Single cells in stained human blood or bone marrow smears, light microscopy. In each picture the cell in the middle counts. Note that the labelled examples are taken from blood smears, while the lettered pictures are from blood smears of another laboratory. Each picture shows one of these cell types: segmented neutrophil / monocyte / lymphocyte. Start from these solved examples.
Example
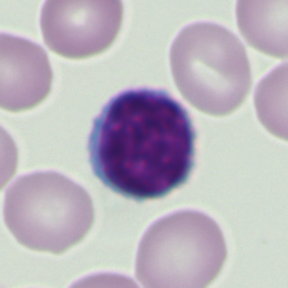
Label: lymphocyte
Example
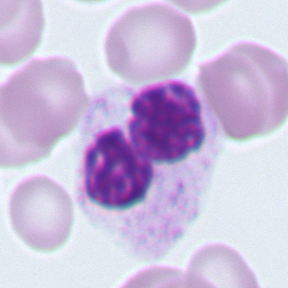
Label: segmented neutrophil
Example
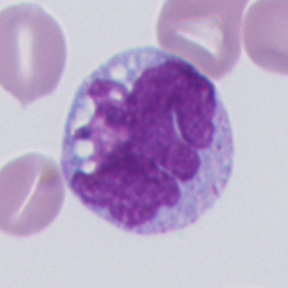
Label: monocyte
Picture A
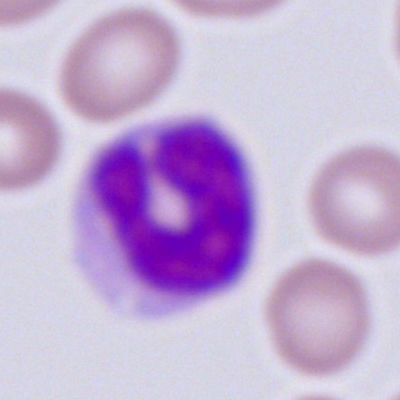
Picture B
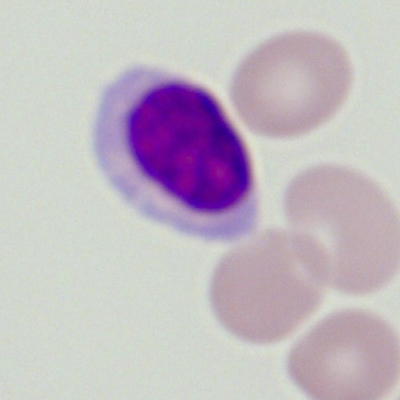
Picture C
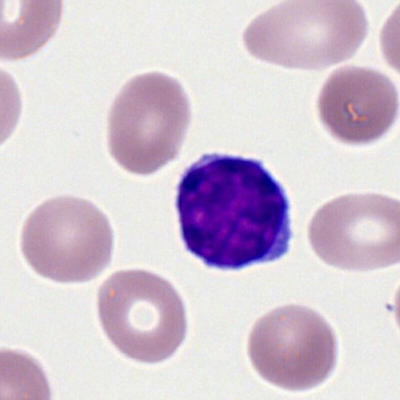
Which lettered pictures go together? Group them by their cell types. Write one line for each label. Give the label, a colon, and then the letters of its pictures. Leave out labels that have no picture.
monocyte: A
lymphocyte: B, C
